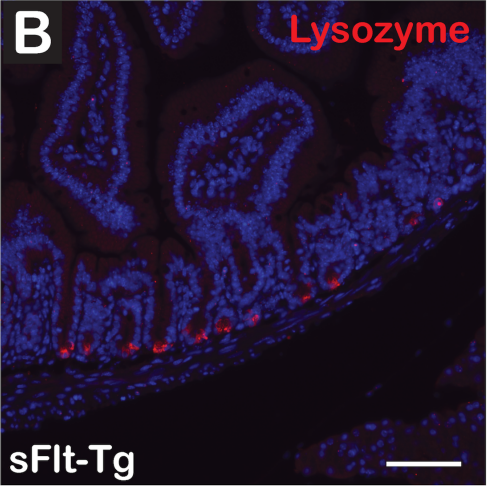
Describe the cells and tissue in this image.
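This is a section of the lining of the small intestine, with tall finger-like villi above and short tubular crypts along the bottom of the mucosa. The villi are covered by a single layer of columnar epithelium whose crowded blue nuclei form a palisade along each projection, around a core of looser tissue. At the bottom, the crypts are packed side by side just above a thin band of elongated nuclei belonging to the muscle wall. Small bright red deposits sit right at the base of nearly every crypt, in cells that lie deepest in the gland. Elsewhere in the villi and the underlying wall there is essentially no red.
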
